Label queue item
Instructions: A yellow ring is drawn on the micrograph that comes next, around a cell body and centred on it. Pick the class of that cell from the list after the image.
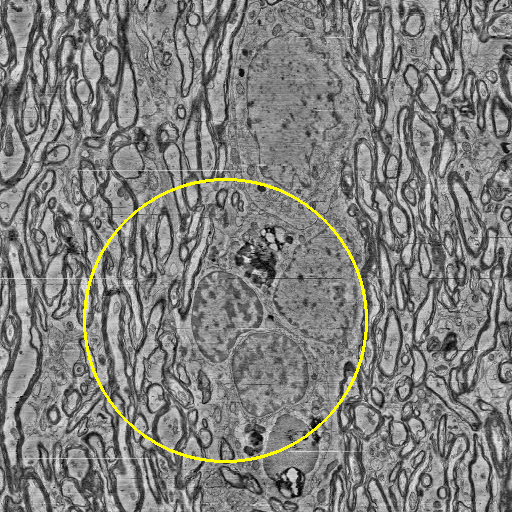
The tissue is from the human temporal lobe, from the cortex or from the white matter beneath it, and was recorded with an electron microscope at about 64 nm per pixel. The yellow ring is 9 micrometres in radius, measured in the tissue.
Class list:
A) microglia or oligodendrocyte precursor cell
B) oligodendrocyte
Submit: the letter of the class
A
